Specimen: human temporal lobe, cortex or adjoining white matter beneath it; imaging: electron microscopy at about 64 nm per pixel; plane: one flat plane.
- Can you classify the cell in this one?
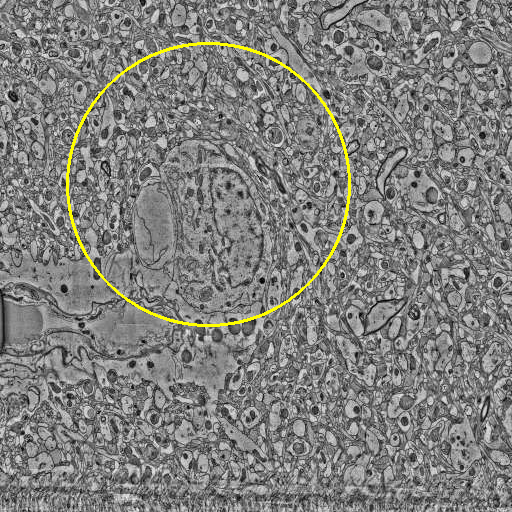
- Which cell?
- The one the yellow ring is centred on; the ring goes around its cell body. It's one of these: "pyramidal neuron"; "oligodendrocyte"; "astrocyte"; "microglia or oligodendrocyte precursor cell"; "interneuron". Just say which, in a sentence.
The cell body in the ring belongs to an interneuron.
